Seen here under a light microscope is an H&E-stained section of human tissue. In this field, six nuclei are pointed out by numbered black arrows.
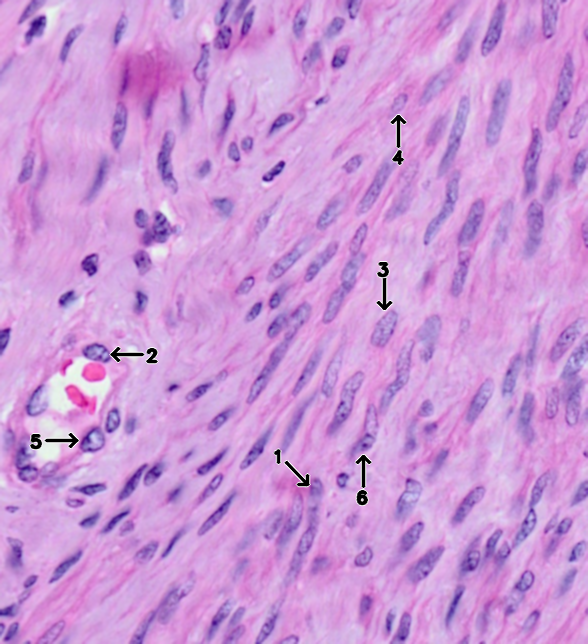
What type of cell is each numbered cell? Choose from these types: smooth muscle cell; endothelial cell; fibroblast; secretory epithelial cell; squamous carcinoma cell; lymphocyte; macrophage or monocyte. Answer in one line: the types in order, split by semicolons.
smooth muscle cell; endothelial cell; smooth muscle cell; smooth muscle cell; endothelial cell; smooth muscle cell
